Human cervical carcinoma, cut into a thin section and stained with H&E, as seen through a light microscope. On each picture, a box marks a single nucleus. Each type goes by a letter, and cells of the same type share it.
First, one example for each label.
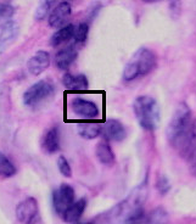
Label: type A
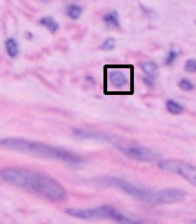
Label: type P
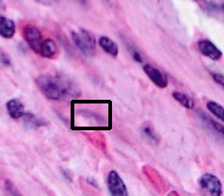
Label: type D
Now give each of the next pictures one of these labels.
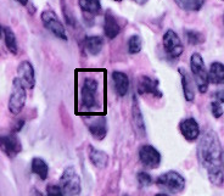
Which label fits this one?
type A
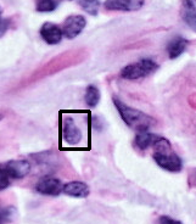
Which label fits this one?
type A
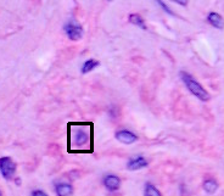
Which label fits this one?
type P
